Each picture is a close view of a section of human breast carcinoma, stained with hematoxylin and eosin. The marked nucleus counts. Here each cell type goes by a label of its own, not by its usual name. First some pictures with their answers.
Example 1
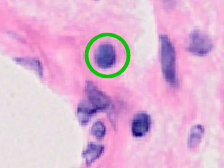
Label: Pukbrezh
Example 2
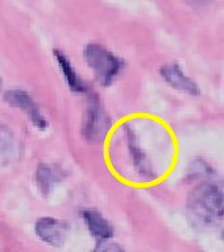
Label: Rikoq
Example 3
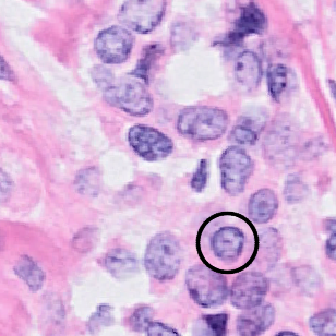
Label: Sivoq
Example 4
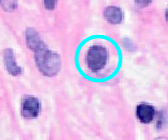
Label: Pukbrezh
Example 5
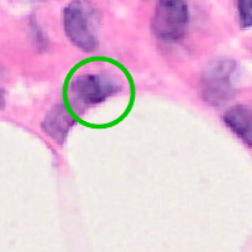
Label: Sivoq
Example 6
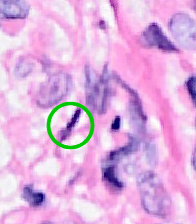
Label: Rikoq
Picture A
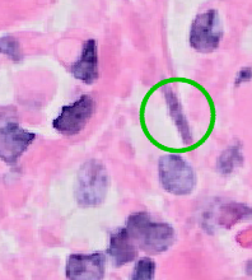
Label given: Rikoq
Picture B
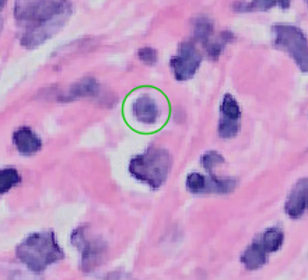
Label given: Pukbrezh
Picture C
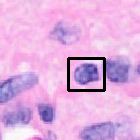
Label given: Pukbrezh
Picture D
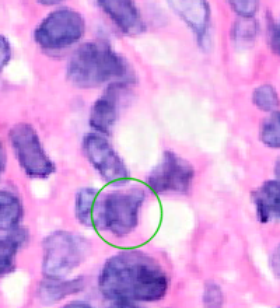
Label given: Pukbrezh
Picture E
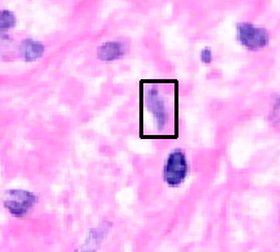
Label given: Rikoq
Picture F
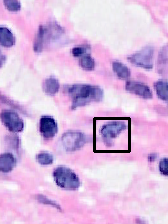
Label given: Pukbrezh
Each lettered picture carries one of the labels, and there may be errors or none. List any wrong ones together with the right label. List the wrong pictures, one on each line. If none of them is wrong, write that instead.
D: change Pukbrezh to Sivoq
